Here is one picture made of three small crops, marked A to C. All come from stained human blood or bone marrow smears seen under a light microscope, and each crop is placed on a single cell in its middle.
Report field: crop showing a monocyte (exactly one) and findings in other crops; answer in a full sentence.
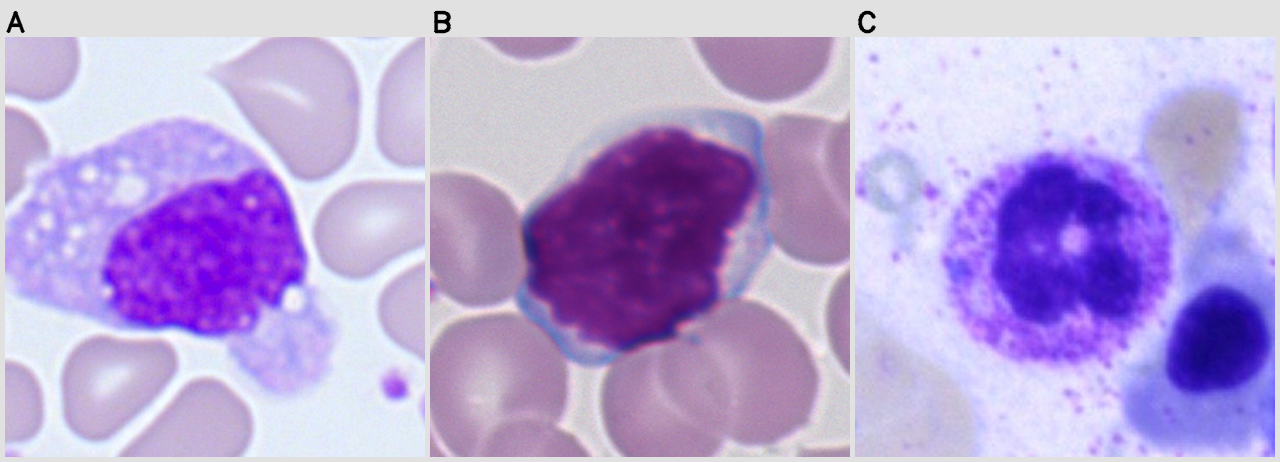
Among these crops, crop A shows a monocyte, while crop B is a lymphocyte and crop C is a segmented neutrophil.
